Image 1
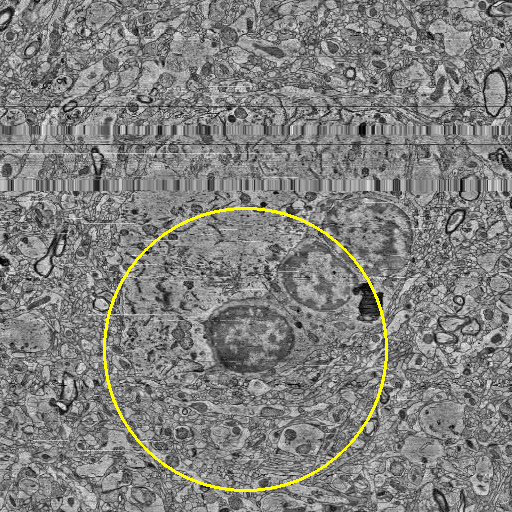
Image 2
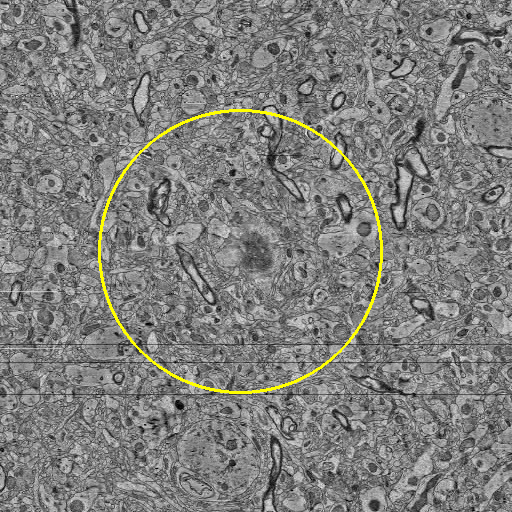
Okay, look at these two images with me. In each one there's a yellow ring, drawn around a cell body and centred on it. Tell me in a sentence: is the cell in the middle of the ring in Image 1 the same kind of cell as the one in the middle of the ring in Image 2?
Yes, they're the same kind of cell.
